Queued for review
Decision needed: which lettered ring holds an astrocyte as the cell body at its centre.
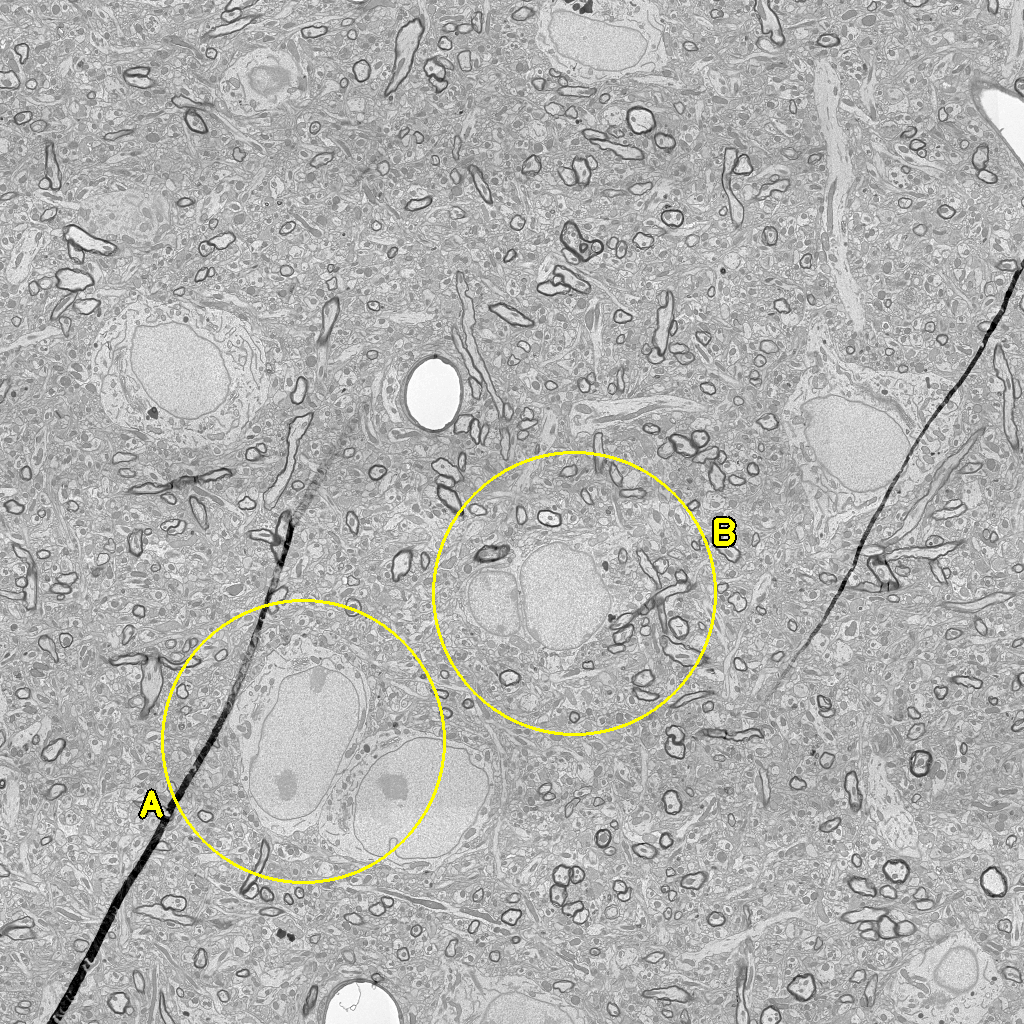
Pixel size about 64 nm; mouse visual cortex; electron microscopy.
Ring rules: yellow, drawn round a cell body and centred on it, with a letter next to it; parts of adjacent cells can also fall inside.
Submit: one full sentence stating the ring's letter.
The cell asked for is the one at the centre of ring B in the picture.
